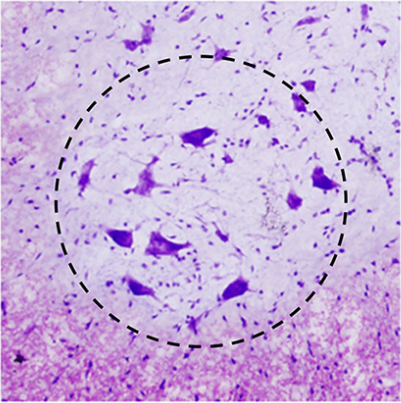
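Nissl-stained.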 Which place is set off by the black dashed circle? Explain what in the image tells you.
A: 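The circle encloses a cluster of large multipolar neurons in grey matter.
Ventral horn.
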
